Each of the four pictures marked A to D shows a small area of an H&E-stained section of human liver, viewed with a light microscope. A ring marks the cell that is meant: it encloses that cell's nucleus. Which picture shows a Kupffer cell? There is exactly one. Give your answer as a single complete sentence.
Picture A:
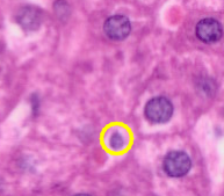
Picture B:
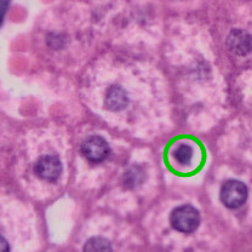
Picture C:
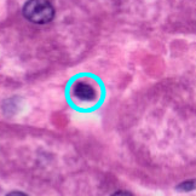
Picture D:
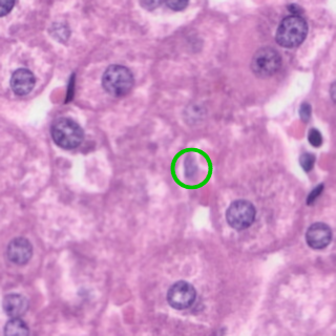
The Kupffer cell is the one in picture D.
